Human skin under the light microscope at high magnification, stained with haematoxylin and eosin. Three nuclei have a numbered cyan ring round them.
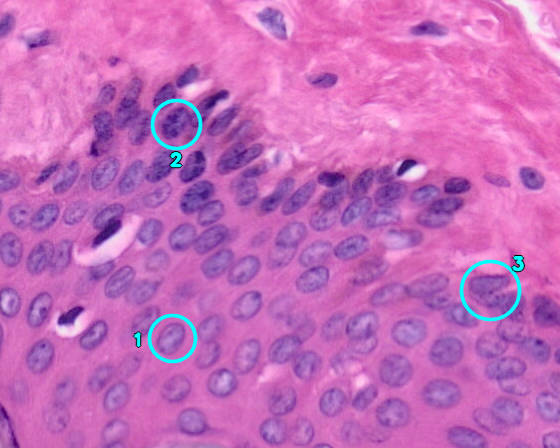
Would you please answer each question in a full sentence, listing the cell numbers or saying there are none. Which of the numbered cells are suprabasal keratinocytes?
Just one of the numbered cells is a suprabasal keratinocyte, namely number 1.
